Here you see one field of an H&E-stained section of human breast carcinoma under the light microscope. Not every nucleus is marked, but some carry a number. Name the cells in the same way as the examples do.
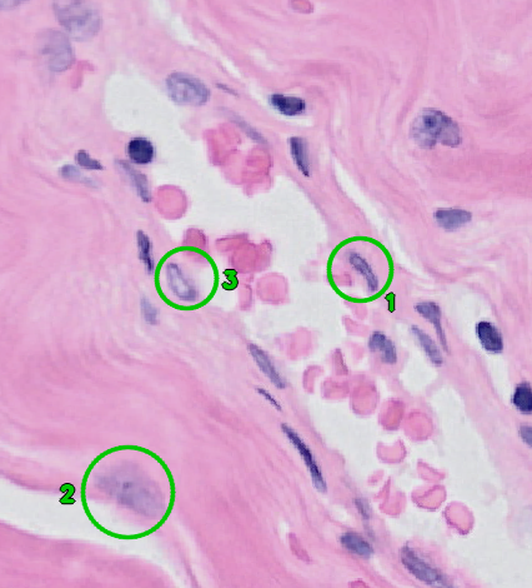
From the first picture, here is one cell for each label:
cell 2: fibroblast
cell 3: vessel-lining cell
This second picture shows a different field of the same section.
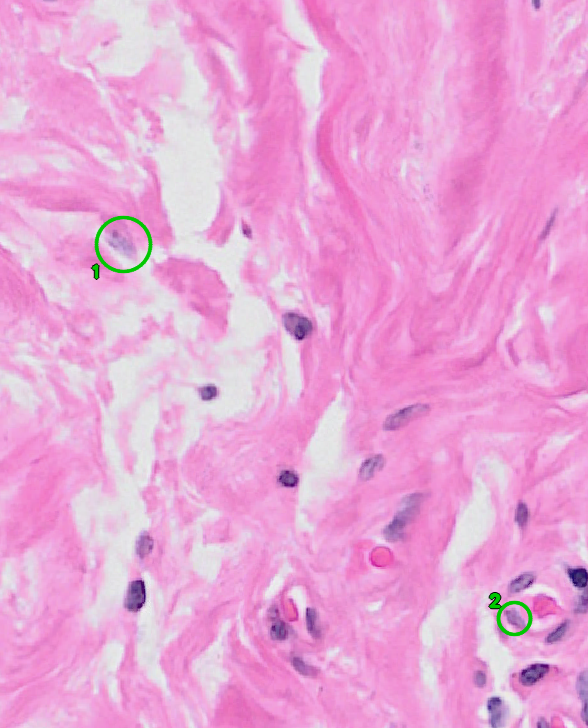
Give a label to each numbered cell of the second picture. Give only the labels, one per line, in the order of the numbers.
fibroblast
vessel-lining cell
